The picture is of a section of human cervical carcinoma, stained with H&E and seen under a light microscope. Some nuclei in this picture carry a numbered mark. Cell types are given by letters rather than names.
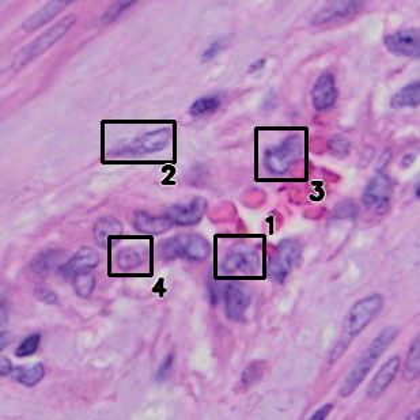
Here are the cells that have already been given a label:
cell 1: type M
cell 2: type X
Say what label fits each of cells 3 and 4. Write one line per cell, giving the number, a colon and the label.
3: type M
4: type M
